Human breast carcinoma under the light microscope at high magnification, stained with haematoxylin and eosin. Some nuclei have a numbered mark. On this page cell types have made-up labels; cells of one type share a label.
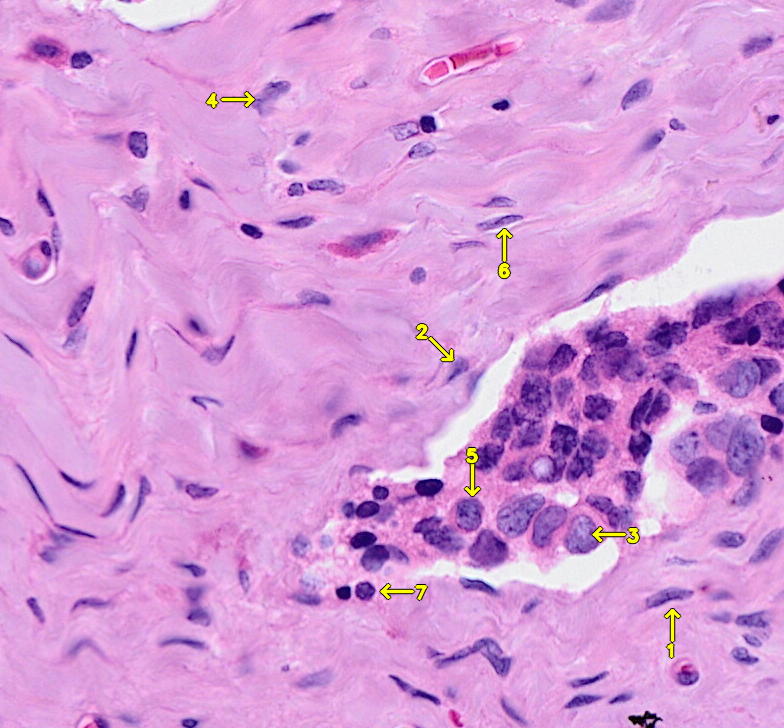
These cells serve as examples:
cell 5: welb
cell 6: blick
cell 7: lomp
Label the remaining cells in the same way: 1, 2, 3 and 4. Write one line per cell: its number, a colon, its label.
1: blick
2: blick
3: welb
4: blick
